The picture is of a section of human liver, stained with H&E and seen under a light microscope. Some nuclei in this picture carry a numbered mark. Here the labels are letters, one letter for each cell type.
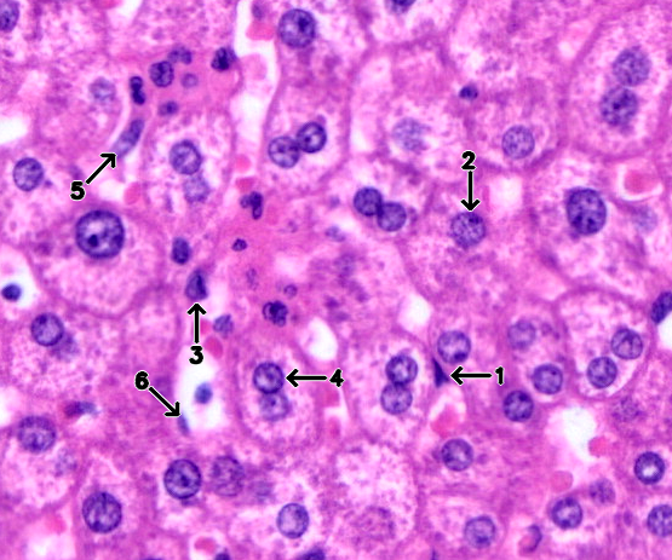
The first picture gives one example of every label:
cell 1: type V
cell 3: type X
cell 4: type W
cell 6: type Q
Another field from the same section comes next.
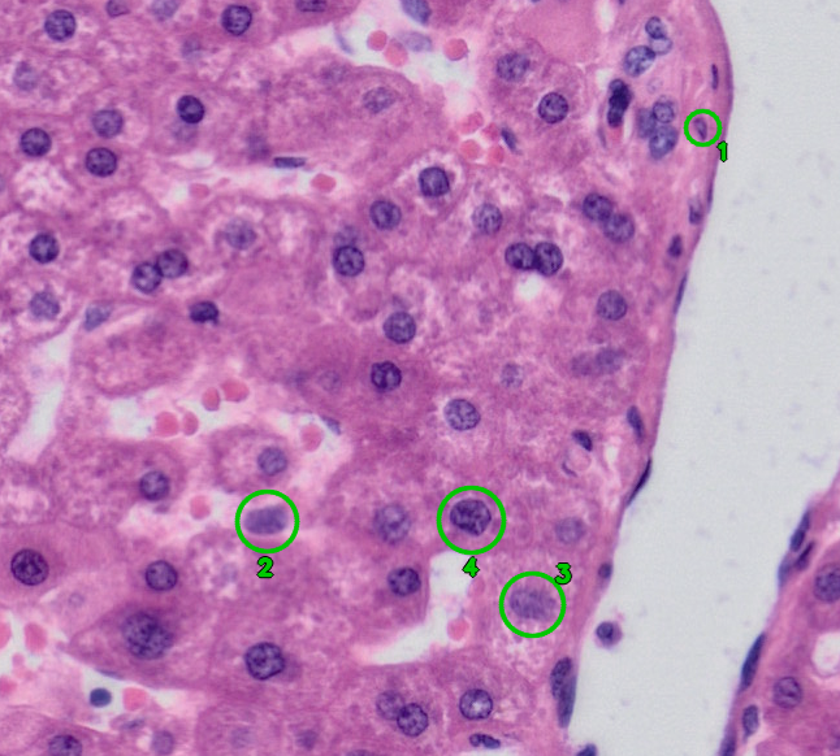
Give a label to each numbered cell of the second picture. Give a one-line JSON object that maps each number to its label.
{"1": "type V", "2": "type Q", "3": "type W", "4": "type W"}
